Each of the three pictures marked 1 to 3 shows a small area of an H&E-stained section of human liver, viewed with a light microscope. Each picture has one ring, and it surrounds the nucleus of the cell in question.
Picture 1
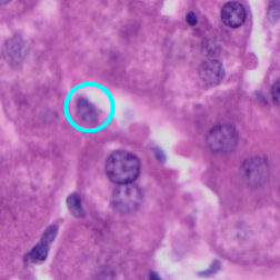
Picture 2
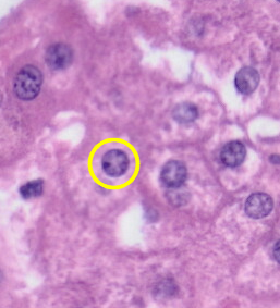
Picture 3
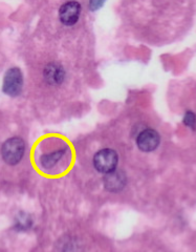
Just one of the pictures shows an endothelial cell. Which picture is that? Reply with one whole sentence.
The endothelial cell is the one in picture 3.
